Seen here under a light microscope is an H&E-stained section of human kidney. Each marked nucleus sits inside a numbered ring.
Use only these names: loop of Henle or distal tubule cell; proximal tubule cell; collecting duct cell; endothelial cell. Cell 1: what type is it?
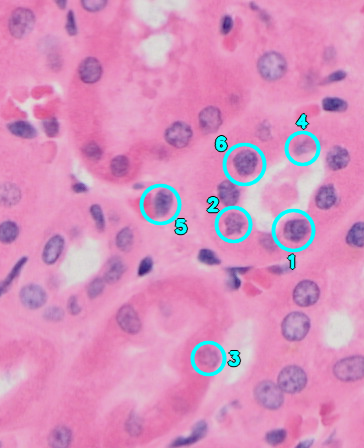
loop of Henle or distal tubule cell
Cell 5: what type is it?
endothelial cell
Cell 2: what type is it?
loop of Henle or distal tubule cell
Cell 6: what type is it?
loop of Henle or distal tubule cell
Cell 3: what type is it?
proximal tubule cell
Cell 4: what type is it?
loop of Henle or distal tubule cell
